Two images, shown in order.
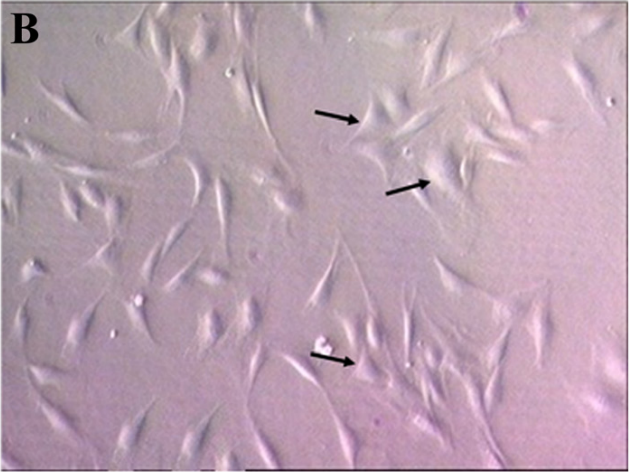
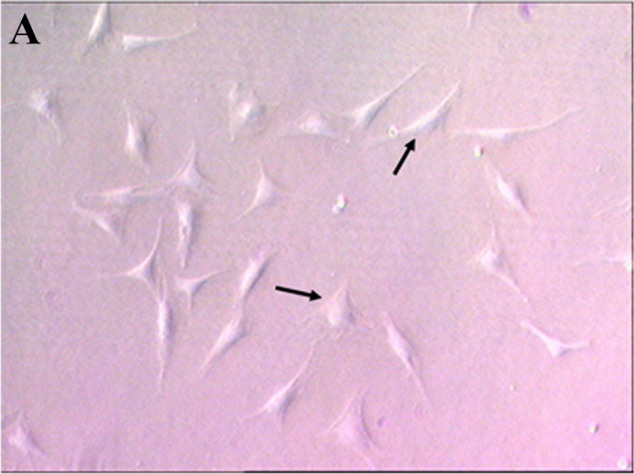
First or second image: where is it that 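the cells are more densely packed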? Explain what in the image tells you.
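Second image: fewer cells are scattered with wide empty areas between them. The answer: the first image.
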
